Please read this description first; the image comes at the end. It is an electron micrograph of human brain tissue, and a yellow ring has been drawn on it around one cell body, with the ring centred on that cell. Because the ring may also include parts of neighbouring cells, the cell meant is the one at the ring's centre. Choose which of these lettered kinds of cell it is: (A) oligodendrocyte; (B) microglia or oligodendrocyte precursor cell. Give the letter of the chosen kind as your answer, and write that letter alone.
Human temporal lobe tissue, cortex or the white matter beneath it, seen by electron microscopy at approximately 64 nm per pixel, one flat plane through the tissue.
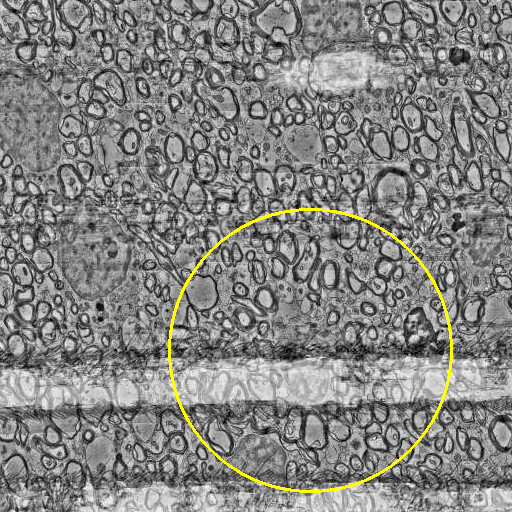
A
